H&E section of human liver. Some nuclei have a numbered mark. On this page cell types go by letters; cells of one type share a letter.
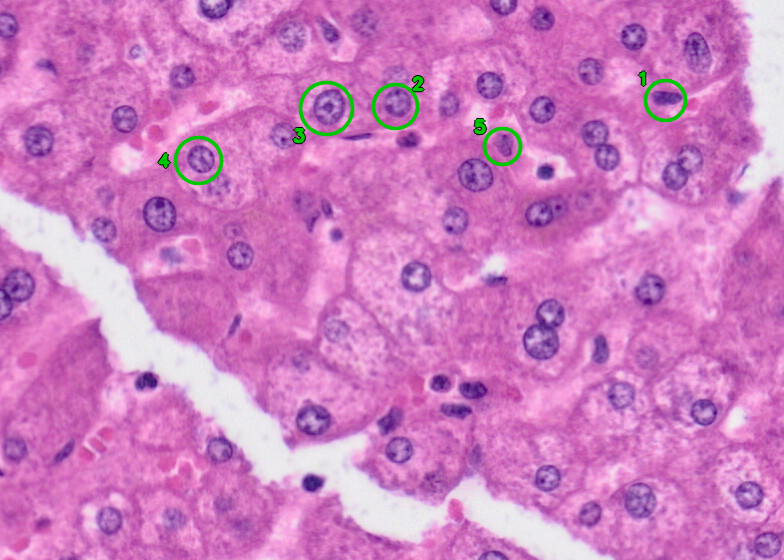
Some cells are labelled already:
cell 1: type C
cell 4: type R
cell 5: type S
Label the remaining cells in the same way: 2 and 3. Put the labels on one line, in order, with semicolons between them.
type R; type R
